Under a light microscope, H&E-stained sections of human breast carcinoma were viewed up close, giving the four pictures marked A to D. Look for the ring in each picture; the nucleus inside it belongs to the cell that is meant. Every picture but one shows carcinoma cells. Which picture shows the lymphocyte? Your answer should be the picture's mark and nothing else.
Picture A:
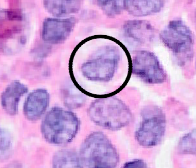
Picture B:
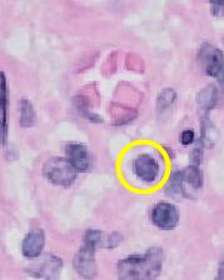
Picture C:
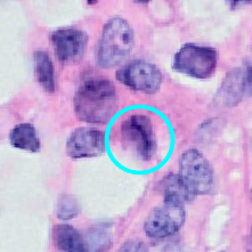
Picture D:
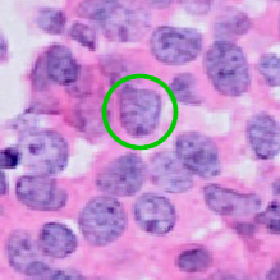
B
